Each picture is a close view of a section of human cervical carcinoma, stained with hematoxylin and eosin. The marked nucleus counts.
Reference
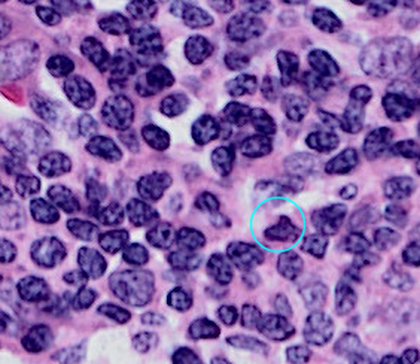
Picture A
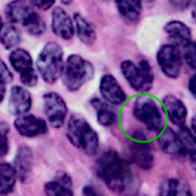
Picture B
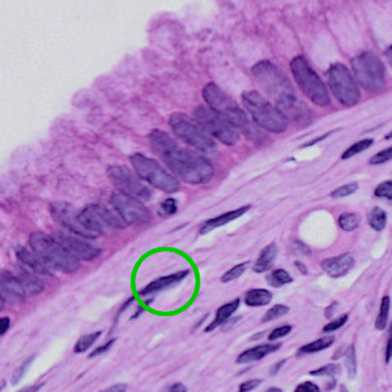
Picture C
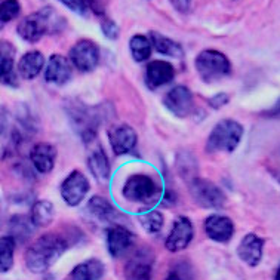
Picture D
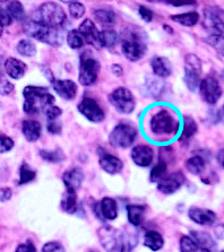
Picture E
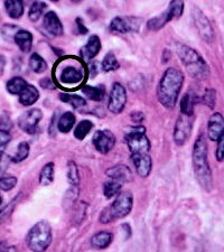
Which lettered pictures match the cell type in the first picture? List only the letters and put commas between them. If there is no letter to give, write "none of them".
A, C, D, E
